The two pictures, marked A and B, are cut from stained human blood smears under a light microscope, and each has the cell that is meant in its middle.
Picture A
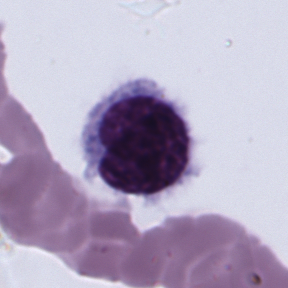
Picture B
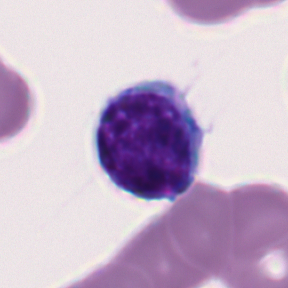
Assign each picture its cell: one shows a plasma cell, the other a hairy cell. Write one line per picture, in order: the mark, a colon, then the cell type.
A: hairy cell
B: plasma cell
